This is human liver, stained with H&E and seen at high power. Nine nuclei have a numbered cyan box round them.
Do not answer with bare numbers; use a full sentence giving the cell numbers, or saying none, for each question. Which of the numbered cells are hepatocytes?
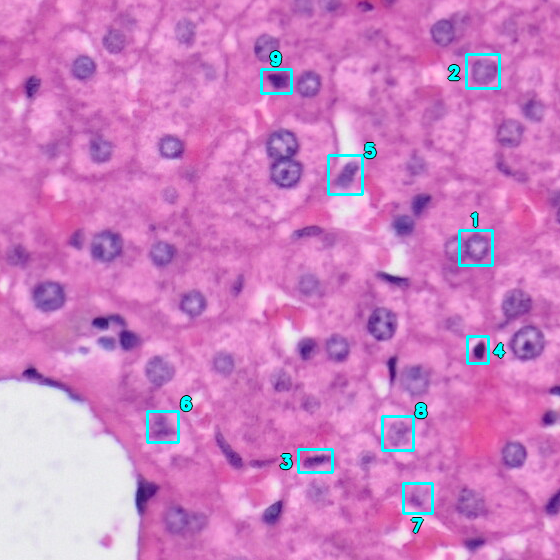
In this section, the cells numbered 1, 2, 6, 7 and 8 are hepatocytes.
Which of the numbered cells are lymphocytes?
Of the cells marked with numbers, cell 4 is the only one that is a lymphocyte.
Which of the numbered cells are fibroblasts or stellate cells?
Just one of the numbered cells is a fibroblast or stellate cell, namely number 9.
